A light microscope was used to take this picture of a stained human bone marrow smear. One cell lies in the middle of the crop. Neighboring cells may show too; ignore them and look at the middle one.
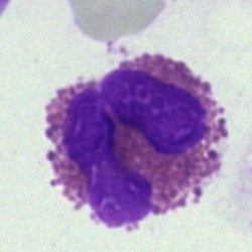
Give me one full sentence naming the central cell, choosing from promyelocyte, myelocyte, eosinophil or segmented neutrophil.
Classified as an eosinophil is the cell in the middle of this crop.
